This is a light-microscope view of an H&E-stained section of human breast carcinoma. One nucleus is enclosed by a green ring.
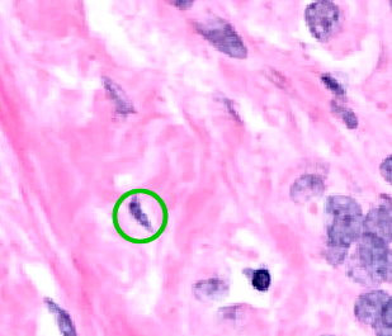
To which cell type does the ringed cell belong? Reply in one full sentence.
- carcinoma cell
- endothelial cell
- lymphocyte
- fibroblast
At the level of cell identity, the ringed cell is a fibroblast.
